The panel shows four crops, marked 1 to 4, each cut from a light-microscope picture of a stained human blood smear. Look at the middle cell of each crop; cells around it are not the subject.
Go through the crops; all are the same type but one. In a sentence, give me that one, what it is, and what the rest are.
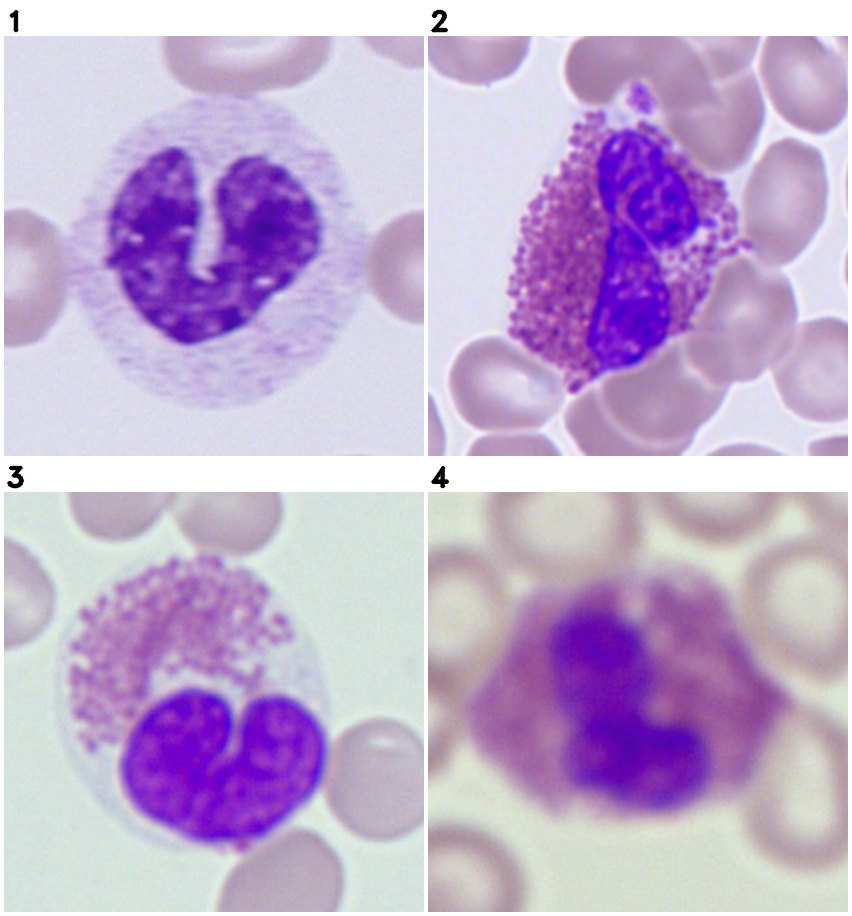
Crop 1 is a band neutrophil, and the other crops all show eosinophils.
